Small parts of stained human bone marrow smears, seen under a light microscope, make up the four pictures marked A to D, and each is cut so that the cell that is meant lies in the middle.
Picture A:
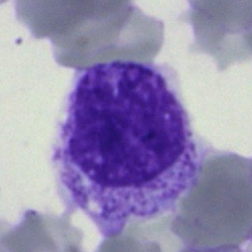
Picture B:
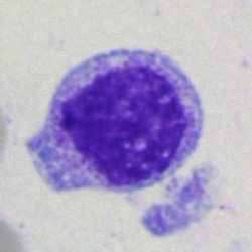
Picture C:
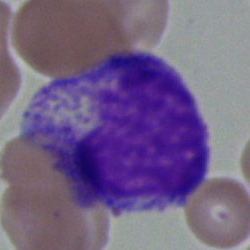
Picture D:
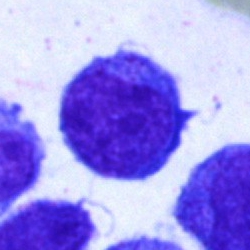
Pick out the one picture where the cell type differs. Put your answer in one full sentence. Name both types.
Unlike the rest, which show myelocytes, picture D shows a blast.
